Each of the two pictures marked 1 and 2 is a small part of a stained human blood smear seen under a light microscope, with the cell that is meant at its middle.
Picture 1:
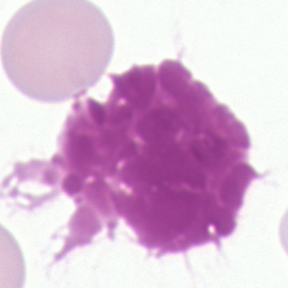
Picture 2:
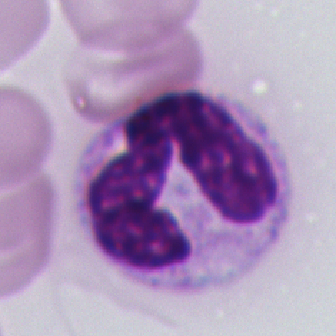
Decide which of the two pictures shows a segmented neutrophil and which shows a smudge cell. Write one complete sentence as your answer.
Picture 2 shows a segmented neutrophil, while picture 1 shows a smudge cell.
